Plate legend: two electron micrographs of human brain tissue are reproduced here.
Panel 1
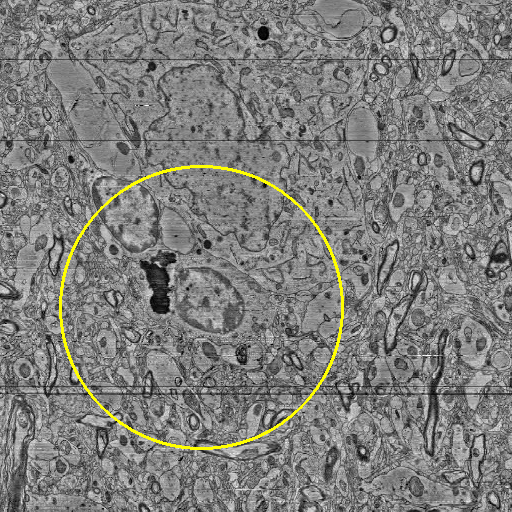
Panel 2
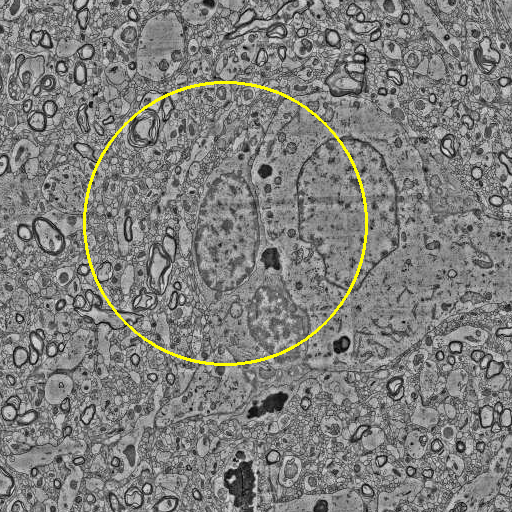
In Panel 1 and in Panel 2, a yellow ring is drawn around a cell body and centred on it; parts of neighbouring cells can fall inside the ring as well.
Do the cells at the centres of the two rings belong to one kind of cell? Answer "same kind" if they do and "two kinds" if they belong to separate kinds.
same kind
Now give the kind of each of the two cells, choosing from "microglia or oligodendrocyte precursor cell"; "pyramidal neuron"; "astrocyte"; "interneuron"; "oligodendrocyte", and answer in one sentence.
Both cells are the same kind, each one being an oligodendrocyte.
